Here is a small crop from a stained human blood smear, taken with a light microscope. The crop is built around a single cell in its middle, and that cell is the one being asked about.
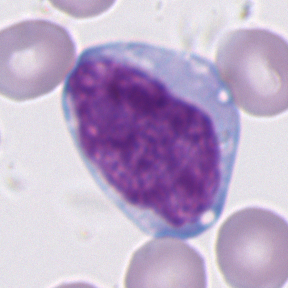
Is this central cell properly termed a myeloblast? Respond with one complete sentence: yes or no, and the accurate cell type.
Yes, the cell lying in the middle is a myeloblast.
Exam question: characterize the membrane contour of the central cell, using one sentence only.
The border of this cell runs smooth and free of any projections.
